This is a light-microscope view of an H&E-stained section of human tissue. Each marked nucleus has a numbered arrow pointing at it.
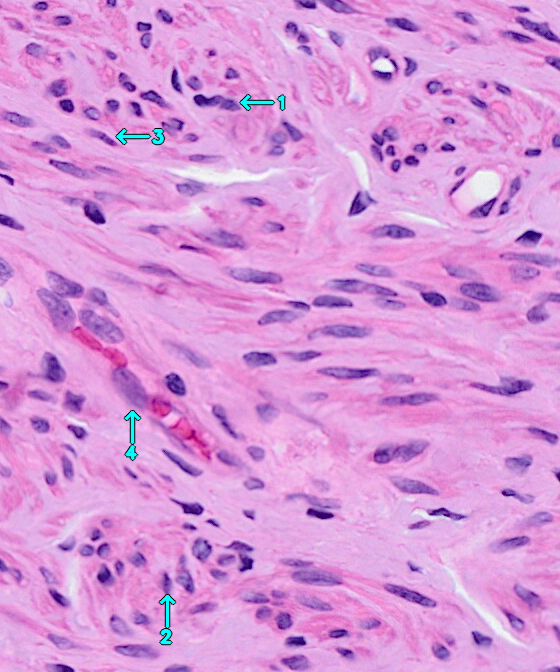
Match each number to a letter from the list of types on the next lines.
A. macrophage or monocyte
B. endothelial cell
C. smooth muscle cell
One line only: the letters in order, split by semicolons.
C; C; C; B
